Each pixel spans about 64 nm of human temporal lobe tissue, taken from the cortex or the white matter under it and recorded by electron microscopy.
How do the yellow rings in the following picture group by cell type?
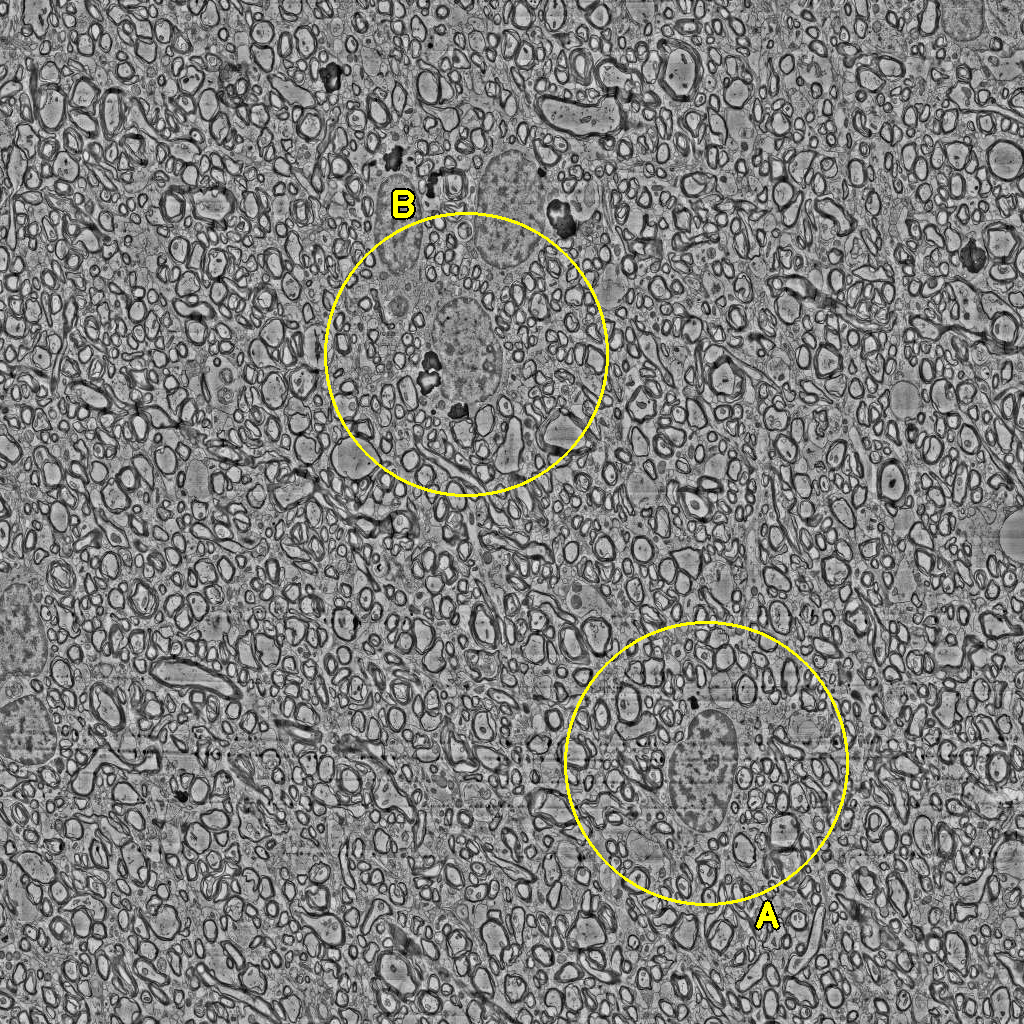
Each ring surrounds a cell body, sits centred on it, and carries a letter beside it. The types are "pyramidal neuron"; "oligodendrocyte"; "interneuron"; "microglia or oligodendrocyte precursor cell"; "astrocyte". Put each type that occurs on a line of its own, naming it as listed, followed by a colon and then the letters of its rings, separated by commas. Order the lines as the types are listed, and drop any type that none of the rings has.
oligodendrocyte: B
microglia or oligodendrocyte precursor cell: A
